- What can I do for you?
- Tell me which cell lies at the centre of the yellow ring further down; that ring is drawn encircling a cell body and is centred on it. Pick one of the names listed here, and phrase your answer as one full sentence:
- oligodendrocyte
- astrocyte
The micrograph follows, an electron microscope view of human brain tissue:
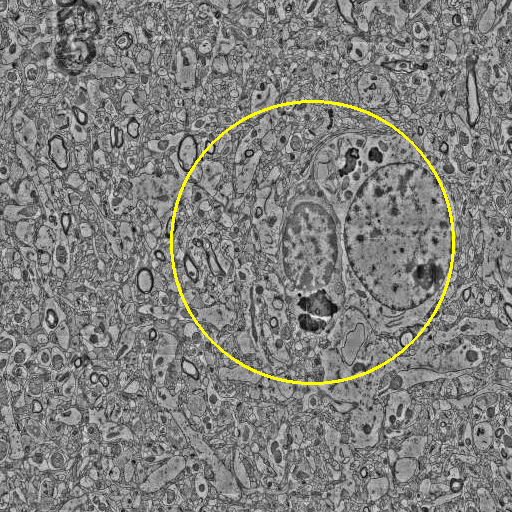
The cell whose body lies at the centre of the yellow ring is an oligodendrocyte.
